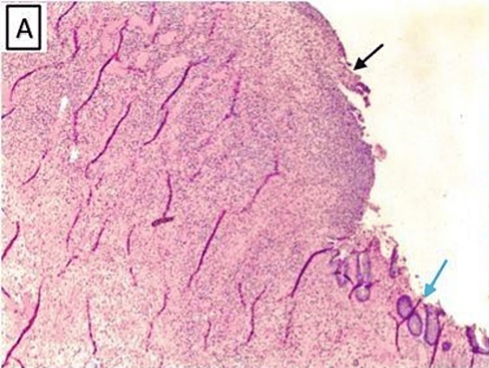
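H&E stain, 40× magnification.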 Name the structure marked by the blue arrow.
Remnant mucosal gland.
